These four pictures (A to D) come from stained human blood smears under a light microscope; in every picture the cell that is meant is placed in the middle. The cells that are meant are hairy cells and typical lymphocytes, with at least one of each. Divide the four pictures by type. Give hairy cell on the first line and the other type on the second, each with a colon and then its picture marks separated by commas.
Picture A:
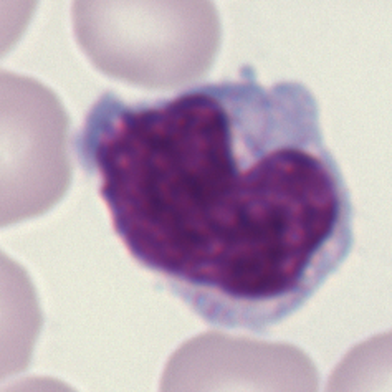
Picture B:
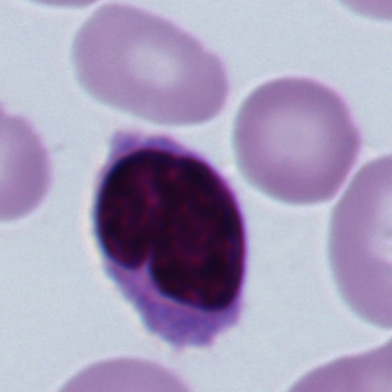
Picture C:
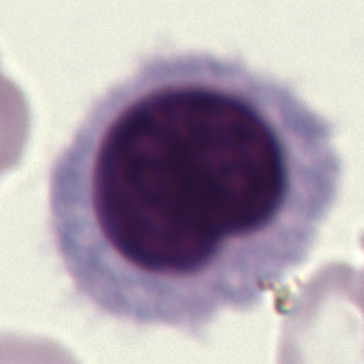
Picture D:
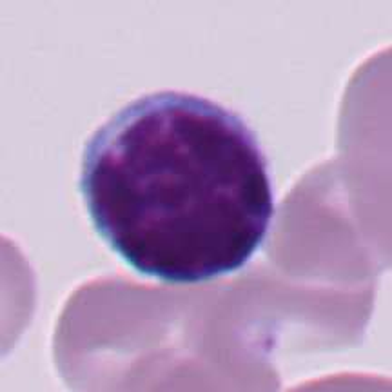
hairy cell: C
typical lymphocyte: A, B, D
